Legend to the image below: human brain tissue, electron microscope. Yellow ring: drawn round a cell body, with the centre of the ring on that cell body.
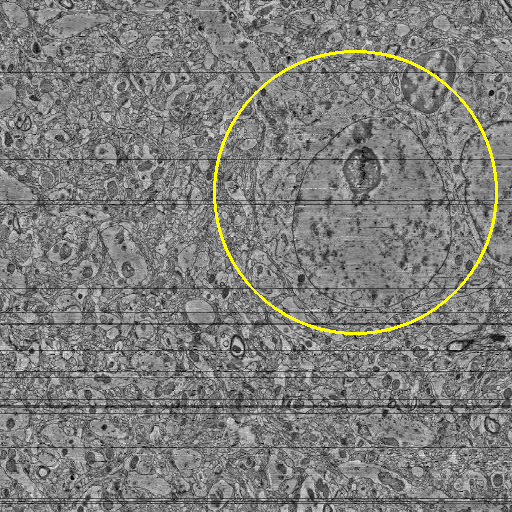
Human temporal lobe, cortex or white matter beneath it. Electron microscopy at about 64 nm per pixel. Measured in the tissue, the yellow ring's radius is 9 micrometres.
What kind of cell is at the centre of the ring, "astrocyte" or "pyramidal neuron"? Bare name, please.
pyramidal neuron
